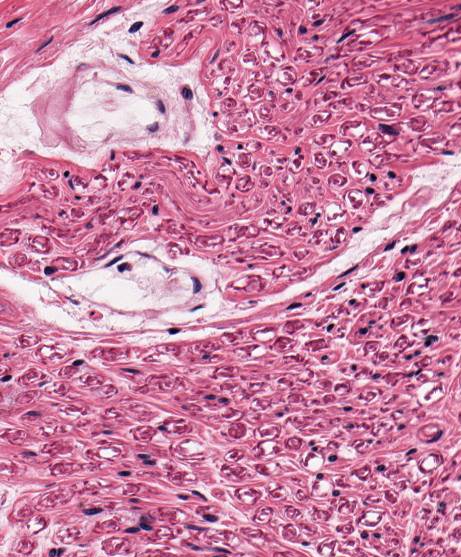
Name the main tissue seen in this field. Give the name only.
nerve fascicle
